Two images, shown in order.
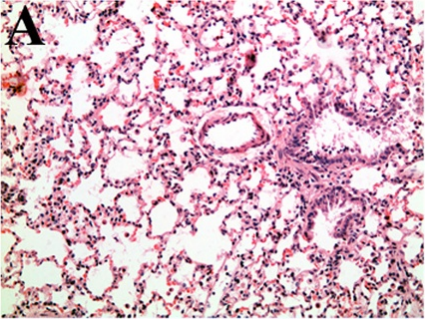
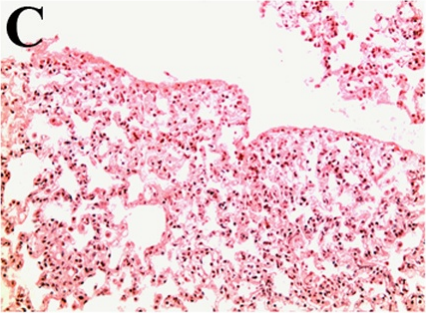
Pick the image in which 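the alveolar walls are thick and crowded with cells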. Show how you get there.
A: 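Second image: septa are broad, packed with nuclei, and air spaces are narrowed. First image: septa are thin with open, clear alveolar spaces.
The second image.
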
